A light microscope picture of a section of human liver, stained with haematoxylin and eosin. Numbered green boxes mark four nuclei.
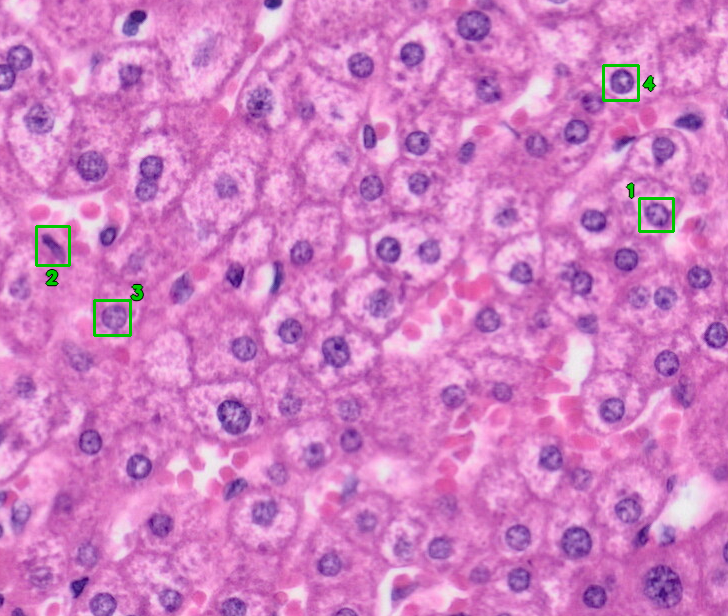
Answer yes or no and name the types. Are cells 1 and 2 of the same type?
No, mate, cell 1 is a hepatocyte and cell 2 is a fibroblast or stellate cell.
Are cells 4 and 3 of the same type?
Yes, cells 4 and 3 both belong to the category of hepatocytes.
